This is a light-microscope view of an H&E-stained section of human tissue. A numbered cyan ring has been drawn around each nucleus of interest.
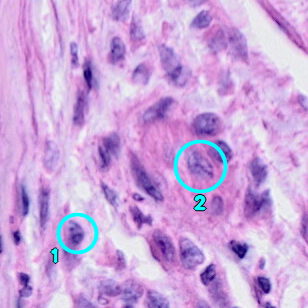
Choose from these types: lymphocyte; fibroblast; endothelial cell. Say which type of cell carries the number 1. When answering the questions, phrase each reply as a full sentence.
The cell referenced by the number 1 is a lymphocyte in this field.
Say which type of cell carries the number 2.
The cell indicated with the number 2 is classed as an endothelial cell.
